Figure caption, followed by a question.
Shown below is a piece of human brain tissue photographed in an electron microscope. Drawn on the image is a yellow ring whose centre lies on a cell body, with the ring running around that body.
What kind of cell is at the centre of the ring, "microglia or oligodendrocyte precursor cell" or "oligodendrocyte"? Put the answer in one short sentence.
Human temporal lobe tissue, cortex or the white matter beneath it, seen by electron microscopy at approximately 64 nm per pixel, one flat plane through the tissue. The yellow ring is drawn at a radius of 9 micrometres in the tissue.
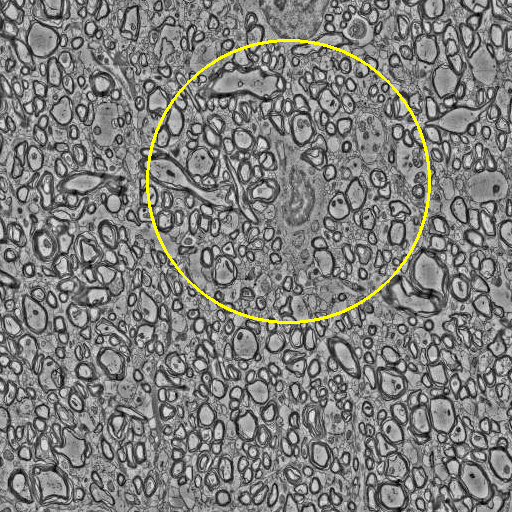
The ring marks the cell body of an oligodendrocyte.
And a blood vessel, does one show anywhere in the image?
No, none appears.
